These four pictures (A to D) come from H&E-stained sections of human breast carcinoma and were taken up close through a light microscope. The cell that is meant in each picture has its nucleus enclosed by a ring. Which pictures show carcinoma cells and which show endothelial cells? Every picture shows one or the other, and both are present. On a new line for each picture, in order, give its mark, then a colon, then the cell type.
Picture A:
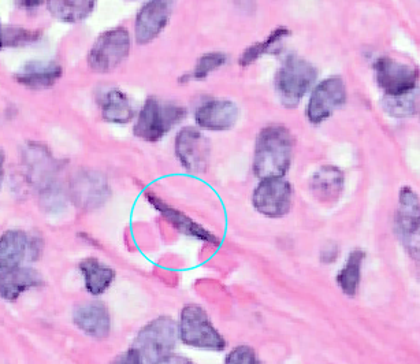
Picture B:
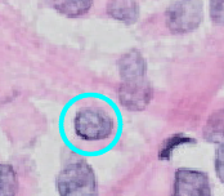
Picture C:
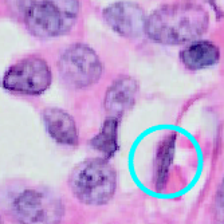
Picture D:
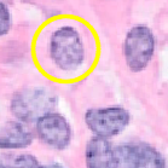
A: endothelial cell
B: carcinoma cell
C: endothelial cell
D: carcinoma cell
